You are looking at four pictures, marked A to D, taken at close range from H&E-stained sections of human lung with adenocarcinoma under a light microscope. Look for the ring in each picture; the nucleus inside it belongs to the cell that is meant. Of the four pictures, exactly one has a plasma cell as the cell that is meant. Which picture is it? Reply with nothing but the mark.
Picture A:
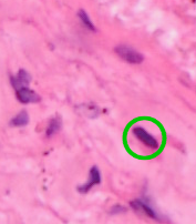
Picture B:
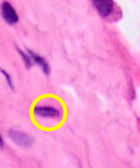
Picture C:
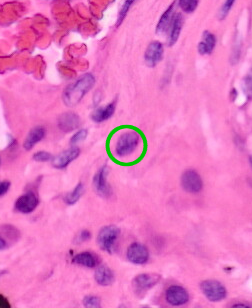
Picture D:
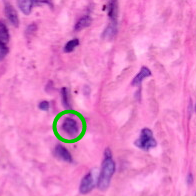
D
